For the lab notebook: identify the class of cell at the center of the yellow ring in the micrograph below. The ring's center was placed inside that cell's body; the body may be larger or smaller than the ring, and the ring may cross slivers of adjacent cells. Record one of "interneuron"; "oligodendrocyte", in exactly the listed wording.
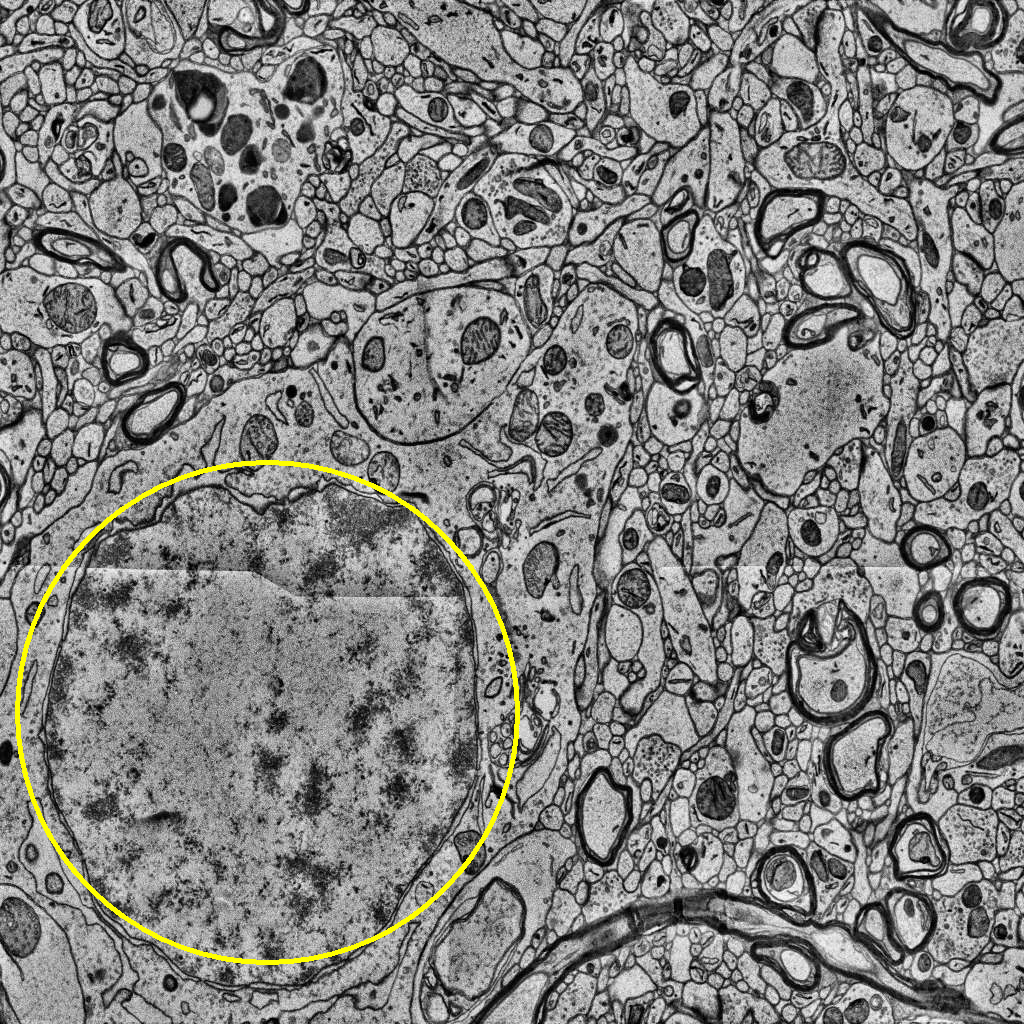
interneuron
